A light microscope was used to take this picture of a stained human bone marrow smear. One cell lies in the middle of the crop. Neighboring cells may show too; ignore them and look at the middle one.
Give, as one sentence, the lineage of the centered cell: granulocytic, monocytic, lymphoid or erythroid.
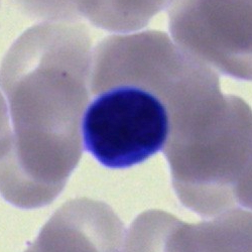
Regarding lineage, the cell in the center of this crop should be listed as lymphoid.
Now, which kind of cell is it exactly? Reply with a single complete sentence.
Where the crop is centred, there is a lymphocyte.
